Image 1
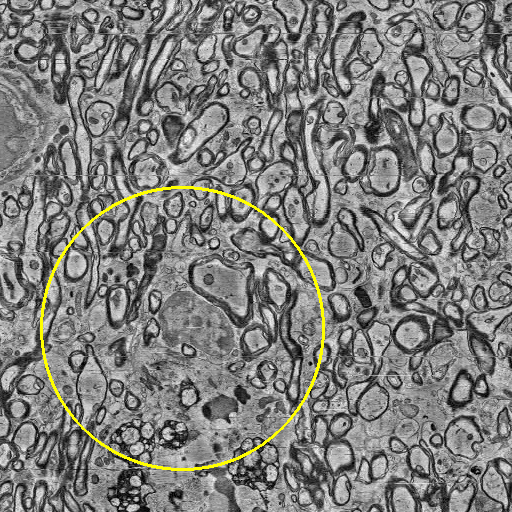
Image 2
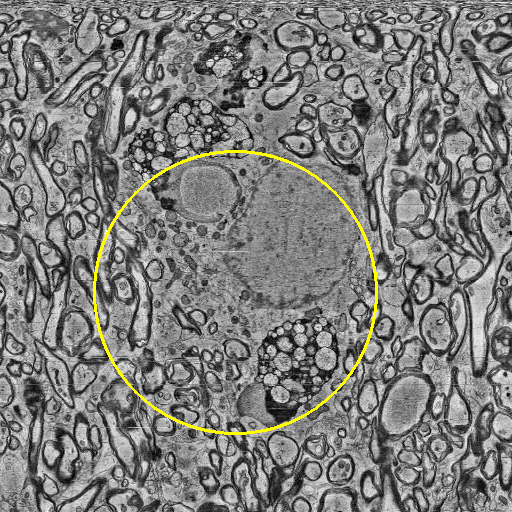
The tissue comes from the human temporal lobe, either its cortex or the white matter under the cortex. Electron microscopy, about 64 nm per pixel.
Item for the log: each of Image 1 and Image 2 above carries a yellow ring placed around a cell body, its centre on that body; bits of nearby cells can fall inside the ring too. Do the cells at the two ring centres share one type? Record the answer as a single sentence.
No, the two cells at the ring centres in Image 1 and Image 2 are of two types.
